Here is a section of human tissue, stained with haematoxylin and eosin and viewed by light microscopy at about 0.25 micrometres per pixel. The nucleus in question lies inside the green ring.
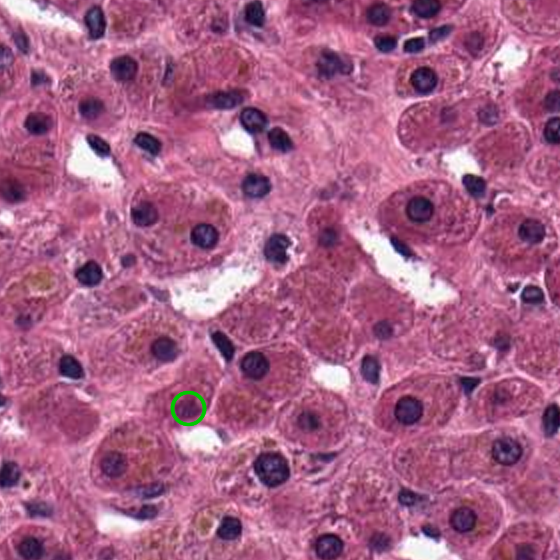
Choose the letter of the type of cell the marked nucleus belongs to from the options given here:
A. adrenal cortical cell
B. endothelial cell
A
